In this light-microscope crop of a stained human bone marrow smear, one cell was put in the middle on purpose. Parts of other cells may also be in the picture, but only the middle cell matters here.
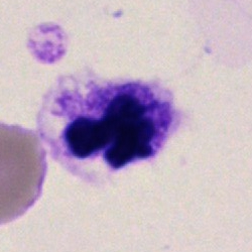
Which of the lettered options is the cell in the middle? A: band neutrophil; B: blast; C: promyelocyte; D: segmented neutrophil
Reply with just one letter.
D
